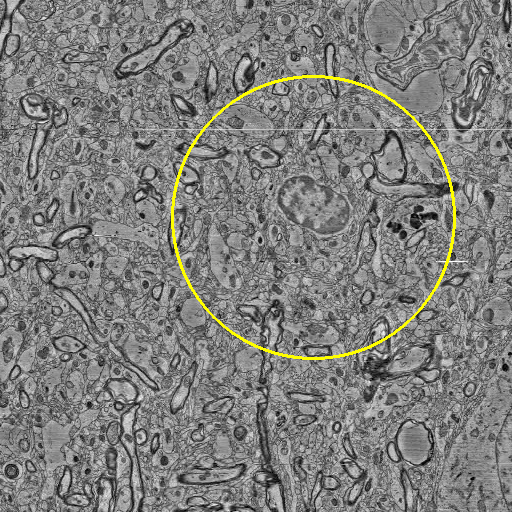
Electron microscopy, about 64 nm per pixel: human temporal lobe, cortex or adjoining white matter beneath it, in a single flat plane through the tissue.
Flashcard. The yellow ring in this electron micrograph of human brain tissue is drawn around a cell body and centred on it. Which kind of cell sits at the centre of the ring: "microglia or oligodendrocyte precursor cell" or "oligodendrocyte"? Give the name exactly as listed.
microglia or oligodendrocyte precursor cell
